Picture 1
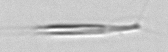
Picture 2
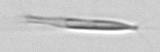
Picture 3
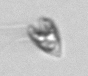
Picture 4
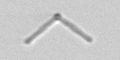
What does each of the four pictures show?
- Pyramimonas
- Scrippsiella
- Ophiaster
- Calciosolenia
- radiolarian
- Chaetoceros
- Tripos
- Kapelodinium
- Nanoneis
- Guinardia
(1) Calciosolenia
(2) Calciosolenia
(3) Pyramimonas
(4) Nanoneis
